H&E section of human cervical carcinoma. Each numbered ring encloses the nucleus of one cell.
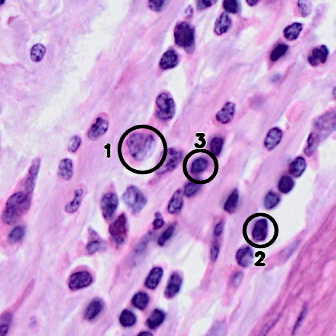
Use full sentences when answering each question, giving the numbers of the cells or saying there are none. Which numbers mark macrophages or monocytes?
Cell 1 is a macrophage or monocyte; no further numbered cell is.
